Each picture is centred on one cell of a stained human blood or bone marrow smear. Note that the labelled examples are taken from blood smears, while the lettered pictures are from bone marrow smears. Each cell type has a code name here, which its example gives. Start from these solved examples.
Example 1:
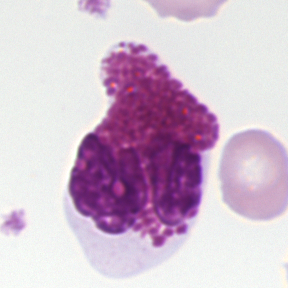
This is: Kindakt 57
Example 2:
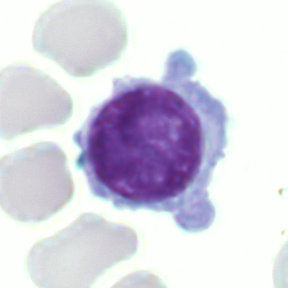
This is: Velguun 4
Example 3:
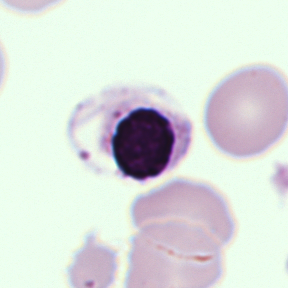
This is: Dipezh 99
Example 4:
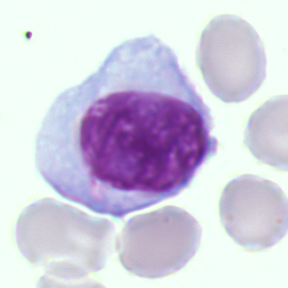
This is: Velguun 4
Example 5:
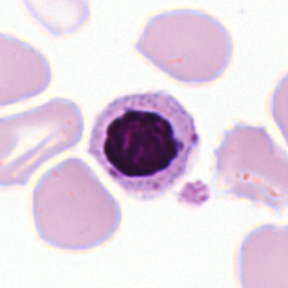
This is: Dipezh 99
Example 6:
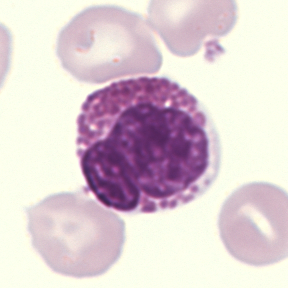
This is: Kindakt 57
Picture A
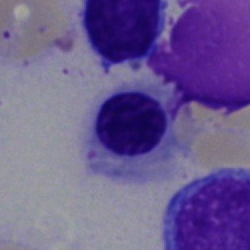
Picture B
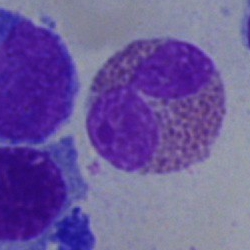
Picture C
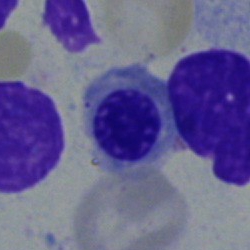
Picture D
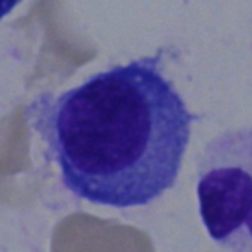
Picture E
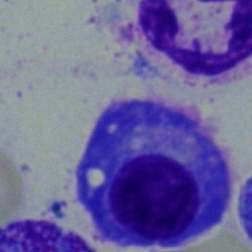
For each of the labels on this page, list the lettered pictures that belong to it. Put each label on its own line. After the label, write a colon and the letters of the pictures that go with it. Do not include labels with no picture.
Kindakt 57: B
Velguun 4: D, E
Dipezh 99: A, C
